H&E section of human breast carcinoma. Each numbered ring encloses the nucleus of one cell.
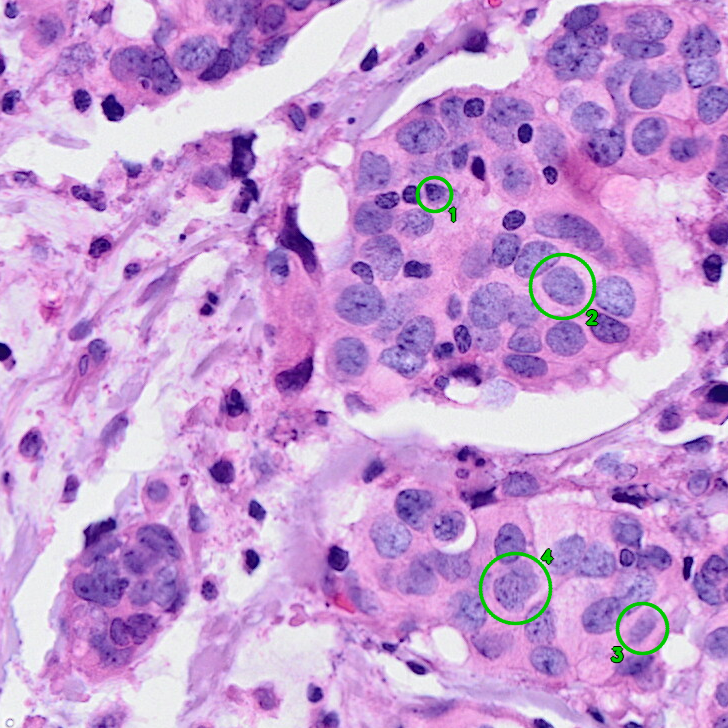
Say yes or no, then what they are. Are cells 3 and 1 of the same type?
No, here cell 3 is a carcinoma cell, whereas cell 1 is a lymphocyte.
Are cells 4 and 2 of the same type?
Yes, cells 4 and 2 are carcinoma cells, the two of them alike.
